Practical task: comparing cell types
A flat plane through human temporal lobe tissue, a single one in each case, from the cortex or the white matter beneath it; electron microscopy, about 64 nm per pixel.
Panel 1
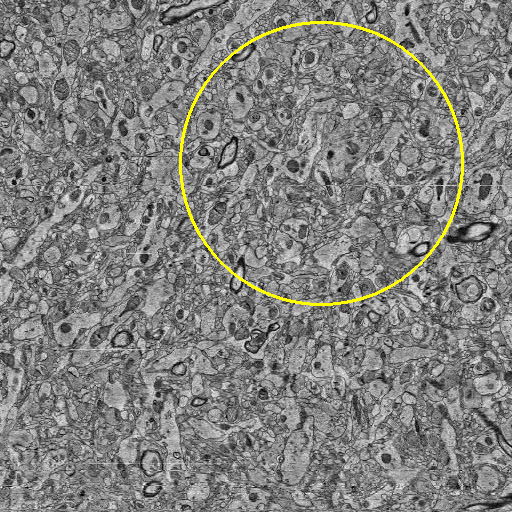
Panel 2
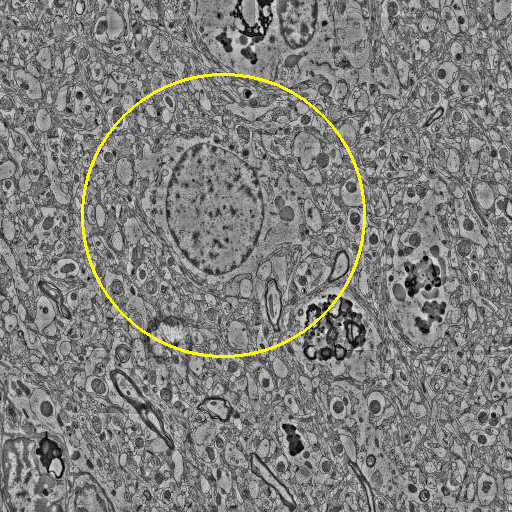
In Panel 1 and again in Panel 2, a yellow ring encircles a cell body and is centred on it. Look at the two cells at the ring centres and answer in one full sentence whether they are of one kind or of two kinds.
The two cells sitting at the ring centres of Panels 1 and 2 are of two kinds.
